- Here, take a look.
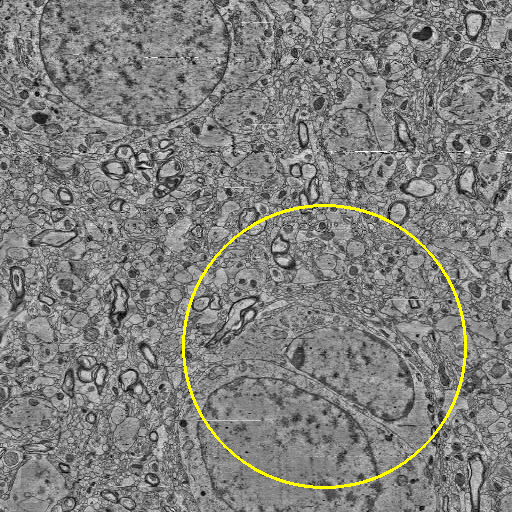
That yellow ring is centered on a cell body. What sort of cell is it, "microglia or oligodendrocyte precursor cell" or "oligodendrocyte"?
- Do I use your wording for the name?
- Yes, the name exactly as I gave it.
microglia or oligodendrocyte precursor cell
